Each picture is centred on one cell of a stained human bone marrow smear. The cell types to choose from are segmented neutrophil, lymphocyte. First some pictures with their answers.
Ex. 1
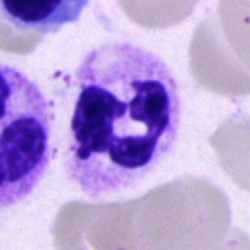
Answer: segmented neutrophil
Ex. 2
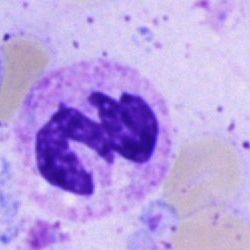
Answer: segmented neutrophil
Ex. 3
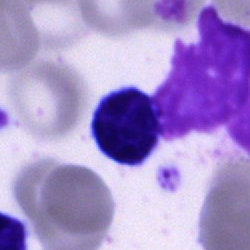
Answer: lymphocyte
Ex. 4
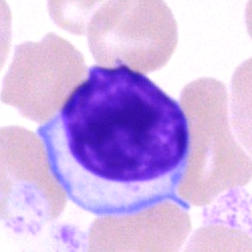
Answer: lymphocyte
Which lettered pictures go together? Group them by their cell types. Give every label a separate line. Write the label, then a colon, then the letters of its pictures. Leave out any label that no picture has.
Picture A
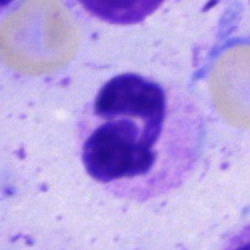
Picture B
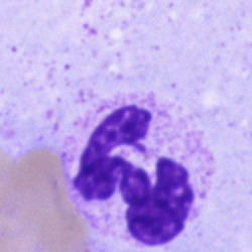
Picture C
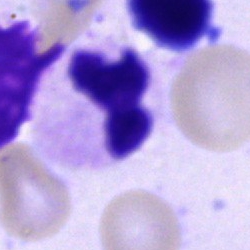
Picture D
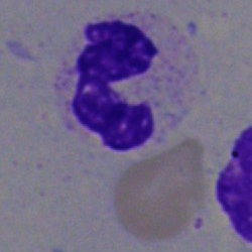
segmented neutrophil: A, B, C, D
